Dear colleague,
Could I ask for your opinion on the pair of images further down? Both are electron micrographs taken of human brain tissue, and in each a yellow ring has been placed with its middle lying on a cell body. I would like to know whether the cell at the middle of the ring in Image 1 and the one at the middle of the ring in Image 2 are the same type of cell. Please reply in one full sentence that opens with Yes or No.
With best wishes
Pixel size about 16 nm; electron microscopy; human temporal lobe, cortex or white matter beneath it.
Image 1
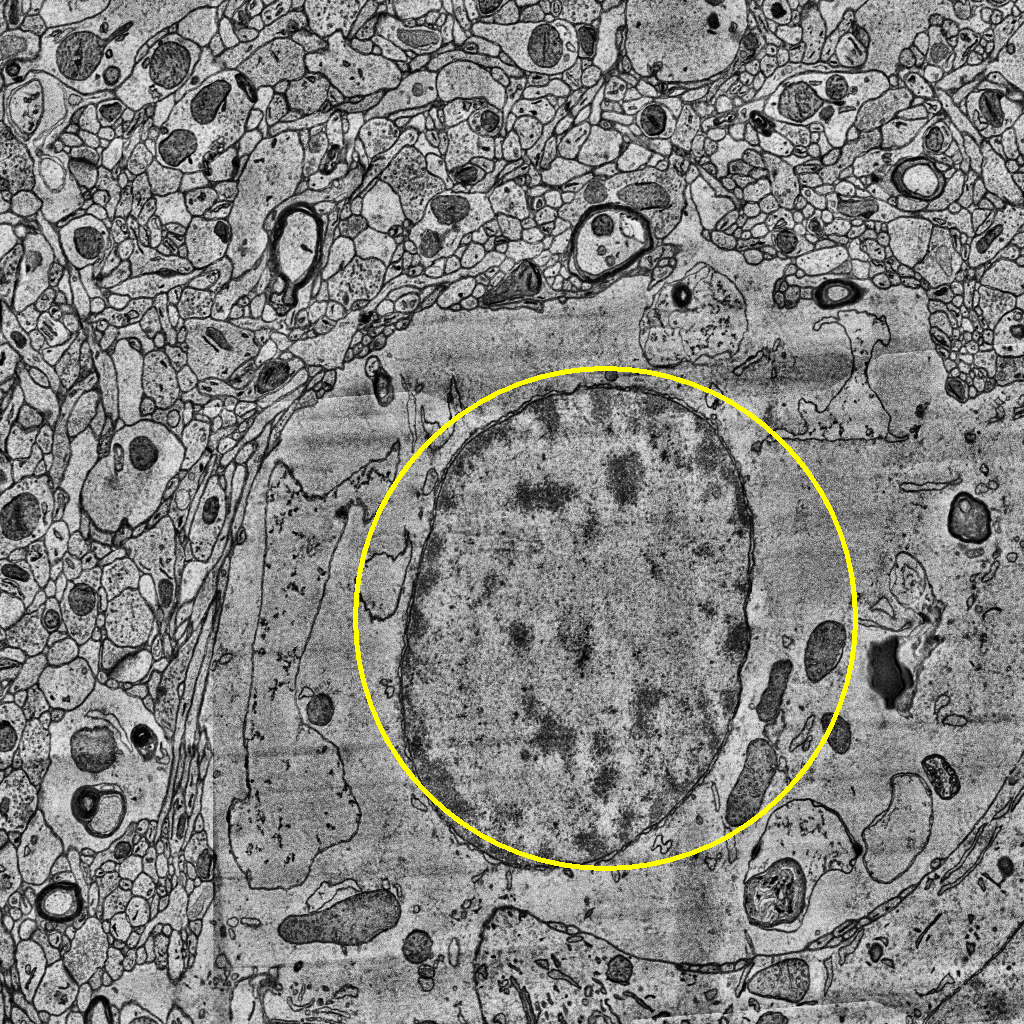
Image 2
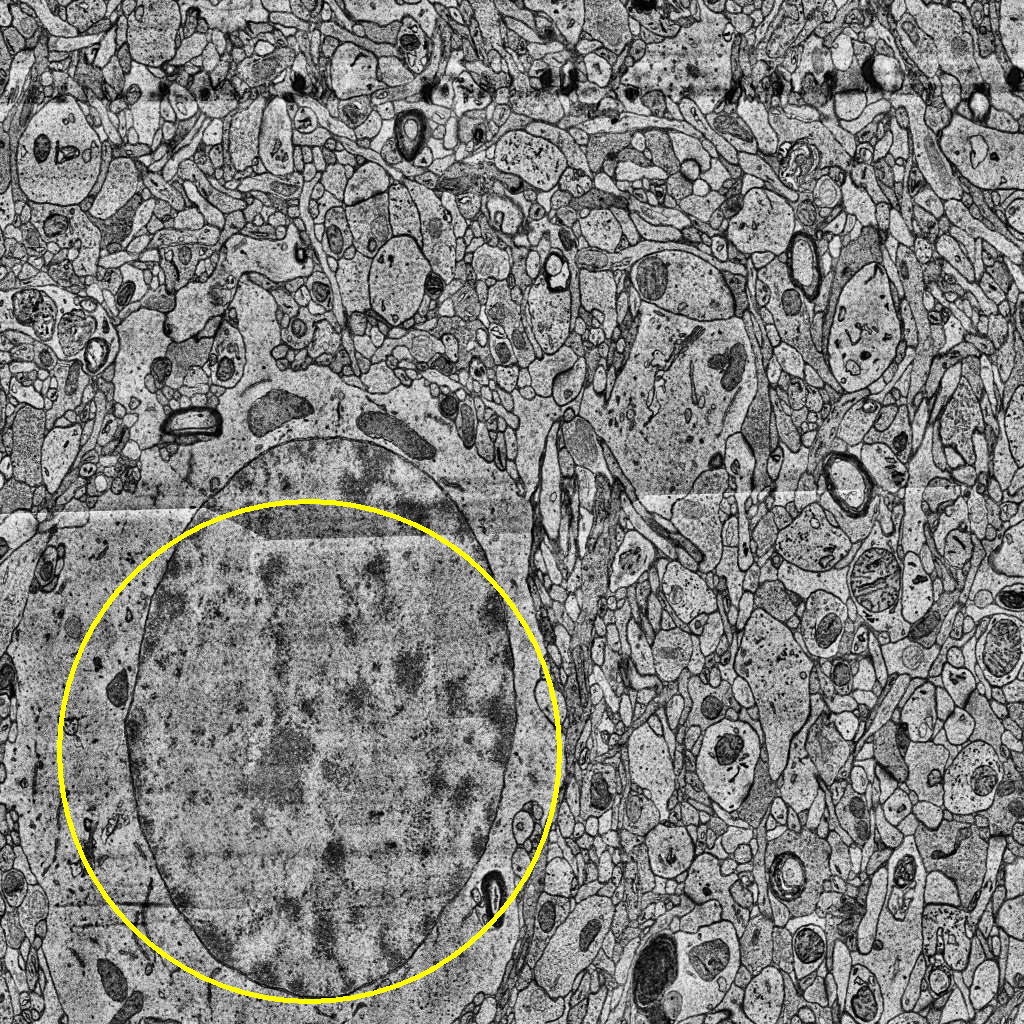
Yes, the cells at the ring centres in Image 1 and Image 2 are of one type.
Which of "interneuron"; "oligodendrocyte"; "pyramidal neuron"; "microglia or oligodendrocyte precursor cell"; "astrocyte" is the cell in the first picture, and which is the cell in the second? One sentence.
The cell at the ring centre is an astrocyte in both pictures.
